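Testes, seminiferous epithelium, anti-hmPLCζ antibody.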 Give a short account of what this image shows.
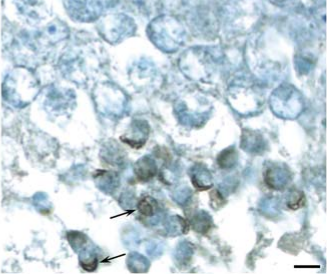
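The larger cells above show little brown stain. The lower edge opens into loose, pale material of the lumen.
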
